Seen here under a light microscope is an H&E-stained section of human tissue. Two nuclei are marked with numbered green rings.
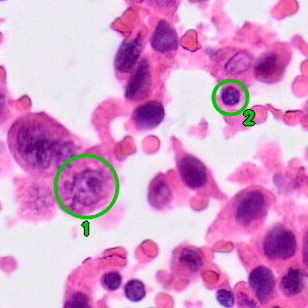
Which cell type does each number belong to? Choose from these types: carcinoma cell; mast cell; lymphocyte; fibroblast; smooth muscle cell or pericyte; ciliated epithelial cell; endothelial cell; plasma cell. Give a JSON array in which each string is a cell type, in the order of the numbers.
["carcinoma cell", "lymphocyte"]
